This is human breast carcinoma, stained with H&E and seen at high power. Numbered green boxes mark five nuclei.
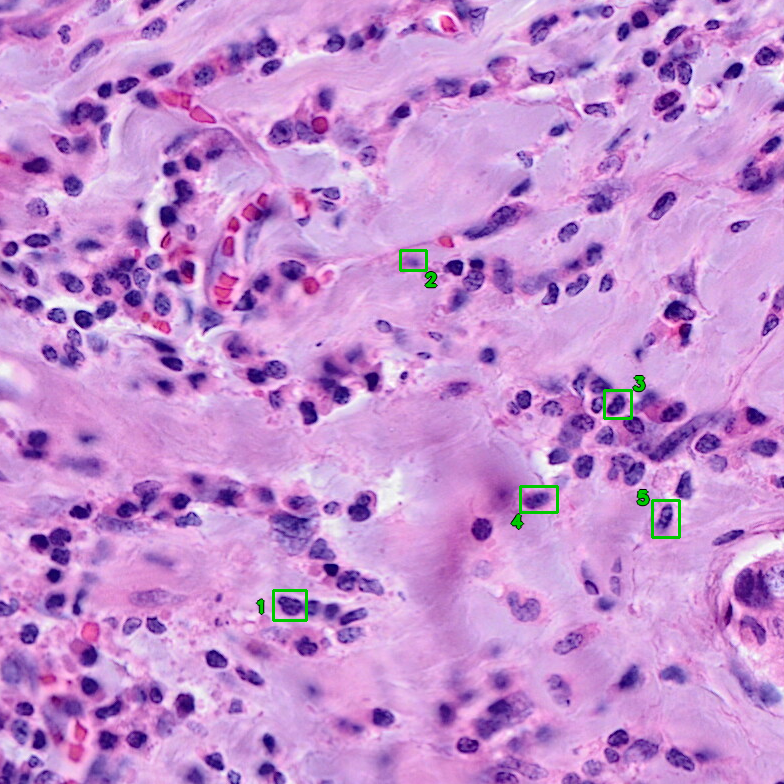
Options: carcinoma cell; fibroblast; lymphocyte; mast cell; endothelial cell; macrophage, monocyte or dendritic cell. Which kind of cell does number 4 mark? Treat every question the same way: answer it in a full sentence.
The nucleus labeled 4 belongs to a mast cell.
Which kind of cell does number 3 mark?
That cell with number 3 is a lymphocyte.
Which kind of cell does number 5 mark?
Among the marked cells, number 5 is a mast cell.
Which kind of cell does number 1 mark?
The nucleus labelled 1 belongs to a lymphocyte.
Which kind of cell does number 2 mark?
Among the marked cells, number 2 is a mast cell.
